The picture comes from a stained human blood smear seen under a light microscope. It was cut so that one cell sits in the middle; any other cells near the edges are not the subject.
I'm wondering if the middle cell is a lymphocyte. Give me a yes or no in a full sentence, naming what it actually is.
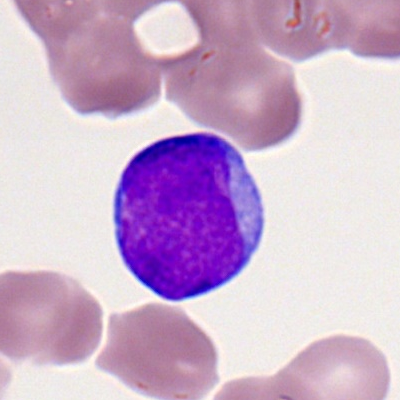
No, the cell in the centre is to be called a myeloblast instead of a lymphocyte.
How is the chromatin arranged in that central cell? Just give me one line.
Heads up, the chromatin is fine with no coarse clumps in it.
